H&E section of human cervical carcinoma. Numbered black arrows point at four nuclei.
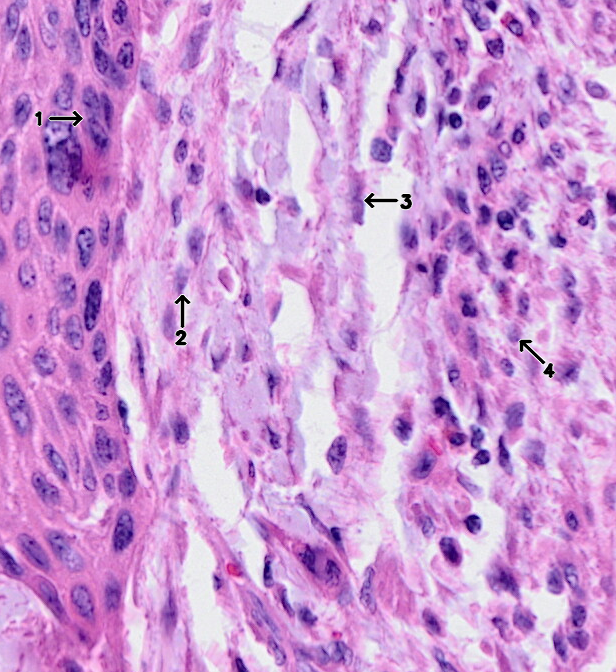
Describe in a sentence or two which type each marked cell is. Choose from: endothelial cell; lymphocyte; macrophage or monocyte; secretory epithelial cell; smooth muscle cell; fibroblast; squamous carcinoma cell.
Cell 1 is a squamous carcinoma cell, cell 2 is a fibroblast, cell 3 is a fibroblast and cell 4 is a fibroblast.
